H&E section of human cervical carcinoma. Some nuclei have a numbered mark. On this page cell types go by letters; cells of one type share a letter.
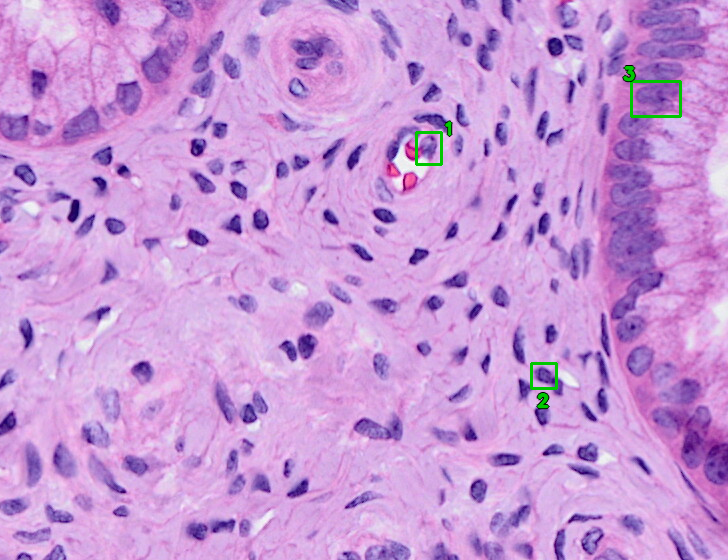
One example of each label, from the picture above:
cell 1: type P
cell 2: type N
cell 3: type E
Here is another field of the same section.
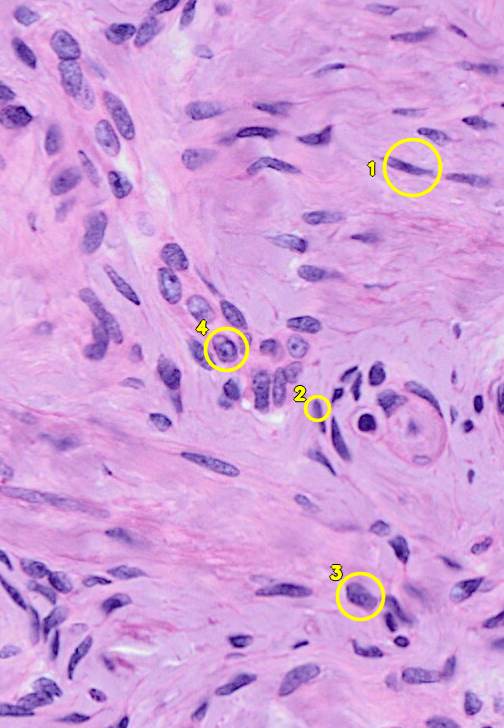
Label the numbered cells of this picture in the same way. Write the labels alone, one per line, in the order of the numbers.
type N
type N
type N
type P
